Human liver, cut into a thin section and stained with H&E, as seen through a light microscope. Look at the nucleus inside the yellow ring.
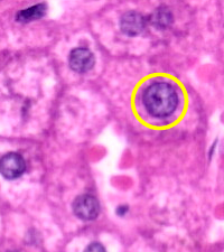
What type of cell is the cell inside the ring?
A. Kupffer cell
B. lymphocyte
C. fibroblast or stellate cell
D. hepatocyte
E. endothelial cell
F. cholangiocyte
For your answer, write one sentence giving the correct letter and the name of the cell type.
Option D holds, since the cell inside the ring is a hepatocyte.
